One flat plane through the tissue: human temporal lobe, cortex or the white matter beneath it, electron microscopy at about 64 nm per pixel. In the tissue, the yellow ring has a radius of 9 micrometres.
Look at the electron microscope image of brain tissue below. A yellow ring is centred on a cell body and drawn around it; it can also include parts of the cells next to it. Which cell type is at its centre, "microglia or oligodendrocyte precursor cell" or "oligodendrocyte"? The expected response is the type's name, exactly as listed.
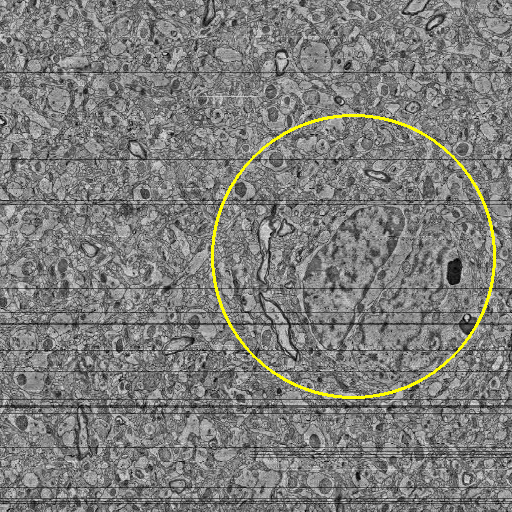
microglia or oligodendrocyte precursor cell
